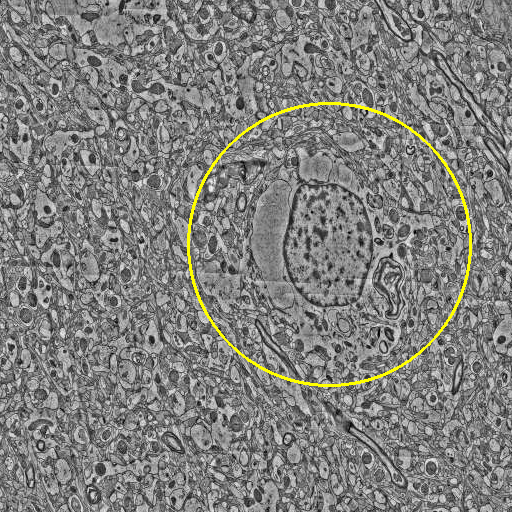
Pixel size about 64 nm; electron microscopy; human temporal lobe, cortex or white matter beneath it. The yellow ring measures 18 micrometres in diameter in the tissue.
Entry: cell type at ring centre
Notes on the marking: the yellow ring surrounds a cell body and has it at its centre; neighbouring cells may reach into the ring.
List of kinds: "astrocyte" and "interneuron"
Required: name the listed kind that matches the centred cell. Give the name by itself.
astrocyte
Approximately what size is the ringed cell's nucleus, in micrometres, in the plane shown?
In this plane, the nucleus is roughly 8 by 6 micrometres.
